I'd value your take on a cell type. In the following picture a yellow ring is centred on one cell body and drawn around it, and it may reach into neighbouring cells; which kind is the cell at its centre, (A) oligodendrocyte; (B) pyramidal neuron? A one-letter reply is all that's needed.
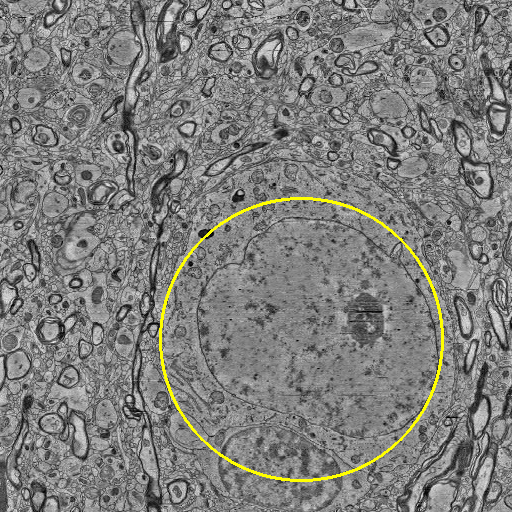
B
